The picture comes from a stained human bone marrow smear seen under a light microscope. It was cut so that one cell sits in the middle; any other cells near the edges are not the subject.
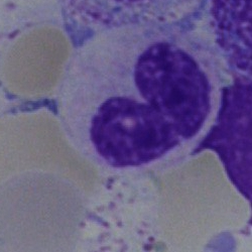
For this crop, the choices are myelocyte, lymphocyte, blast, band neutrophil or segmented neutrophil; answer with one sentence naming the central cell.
In this crop, the cell at the very middle is a band neutrophil.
